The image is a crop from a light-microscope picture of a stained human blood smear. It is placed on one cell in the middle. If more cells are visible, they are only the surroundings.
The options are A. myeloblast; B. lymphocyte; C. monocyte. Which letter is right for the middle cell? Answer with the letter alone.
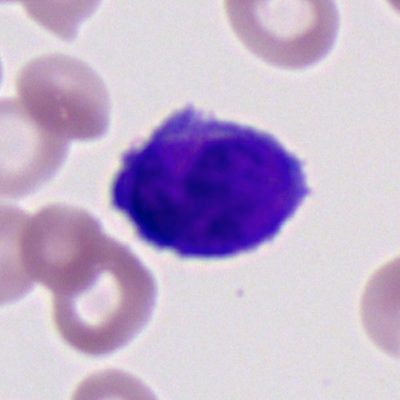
A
